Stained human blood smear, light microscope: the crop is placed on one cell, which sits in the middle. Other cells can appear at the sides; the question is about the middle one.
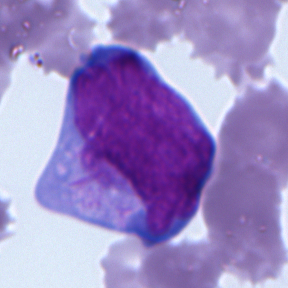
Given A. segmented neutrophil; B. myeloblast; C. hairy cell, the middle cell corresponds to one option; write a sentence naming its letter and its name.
The central cell in this crop is a myeloblast, corresponding to option B, the correct option.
